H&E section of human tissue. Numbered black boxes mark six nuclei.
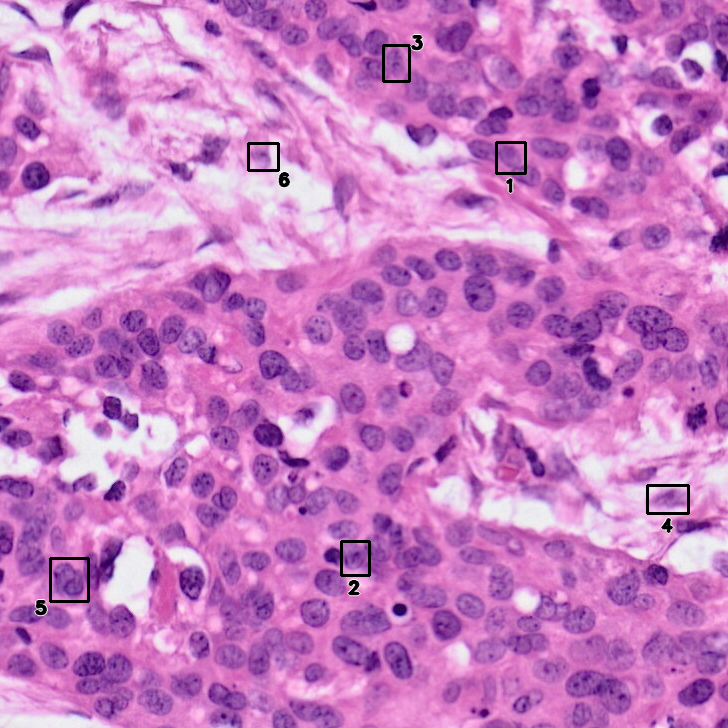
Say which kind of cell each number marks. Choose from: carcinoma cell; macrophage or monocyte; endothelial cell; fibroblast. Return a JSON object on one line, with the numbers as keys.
{"1": "carcinoma cell", "2": "carcinoma cell", "3": "carcinoma cell", "4": "fibroblast", "5": "carcinoma cell", "6": "fibroblast"}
